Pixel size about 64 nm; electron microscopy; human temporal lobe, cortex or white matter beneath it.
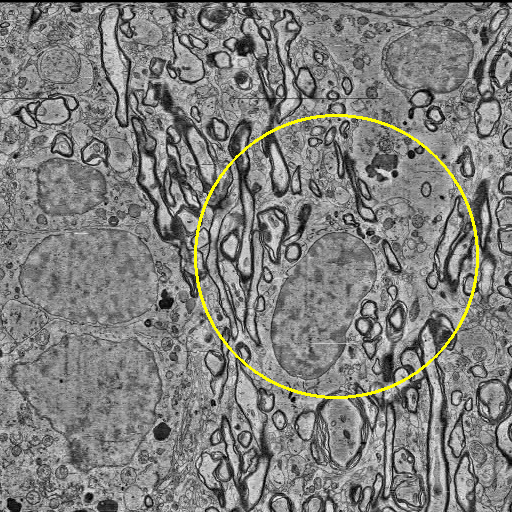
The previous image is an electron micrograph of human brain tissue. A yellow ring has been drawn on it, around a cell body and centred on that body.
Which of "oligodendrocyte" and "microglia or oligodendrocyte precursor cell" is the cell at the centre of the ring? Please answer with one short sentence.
The cell body at the centre of the ring belongs to a microglial cell or oligodendrocyte precursor cell.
